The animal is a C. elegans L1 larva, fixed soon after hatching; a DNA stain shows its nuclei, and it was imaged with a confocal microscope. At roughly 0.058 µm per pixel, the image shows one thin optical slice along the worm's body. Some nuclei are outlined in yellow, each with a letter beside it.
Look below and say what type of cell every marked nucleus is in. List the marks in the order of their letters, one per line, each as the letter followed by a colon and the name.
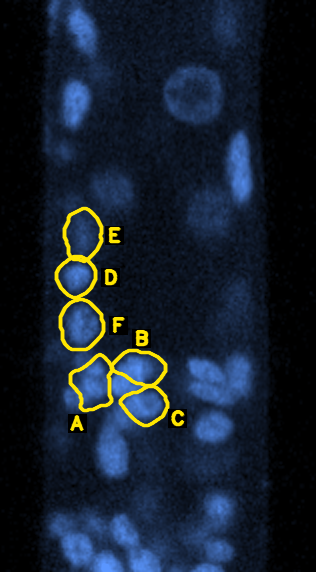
A: body wall muscle cell
B: valve cell of the gut
C: pharyngeal muscle cell
D: neuron
E: body wall muscle cell
F: body wall muscle cell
